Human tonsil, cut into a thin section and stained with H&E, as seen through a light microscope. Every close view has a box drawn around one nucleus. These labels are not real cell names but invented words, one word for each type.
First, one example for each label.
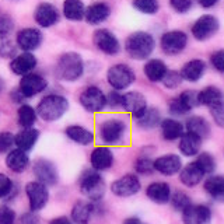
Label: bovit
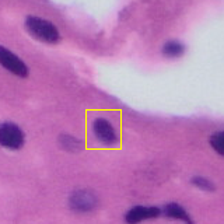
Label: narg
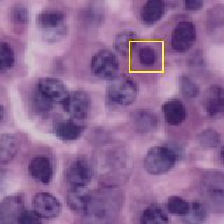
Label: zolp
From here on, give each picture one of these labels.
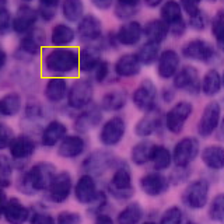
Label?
bovit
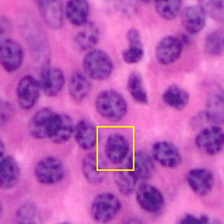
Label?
zolp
